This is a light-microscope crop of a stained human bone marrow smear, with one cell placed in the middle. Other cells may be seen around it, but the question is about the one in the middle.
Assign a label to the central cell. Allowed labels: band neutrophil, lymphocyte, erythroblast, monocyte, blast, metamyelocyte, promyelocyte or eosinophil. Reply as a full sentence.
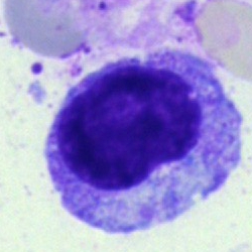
The cell of interest, located centrally, is a metamyelocyte.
